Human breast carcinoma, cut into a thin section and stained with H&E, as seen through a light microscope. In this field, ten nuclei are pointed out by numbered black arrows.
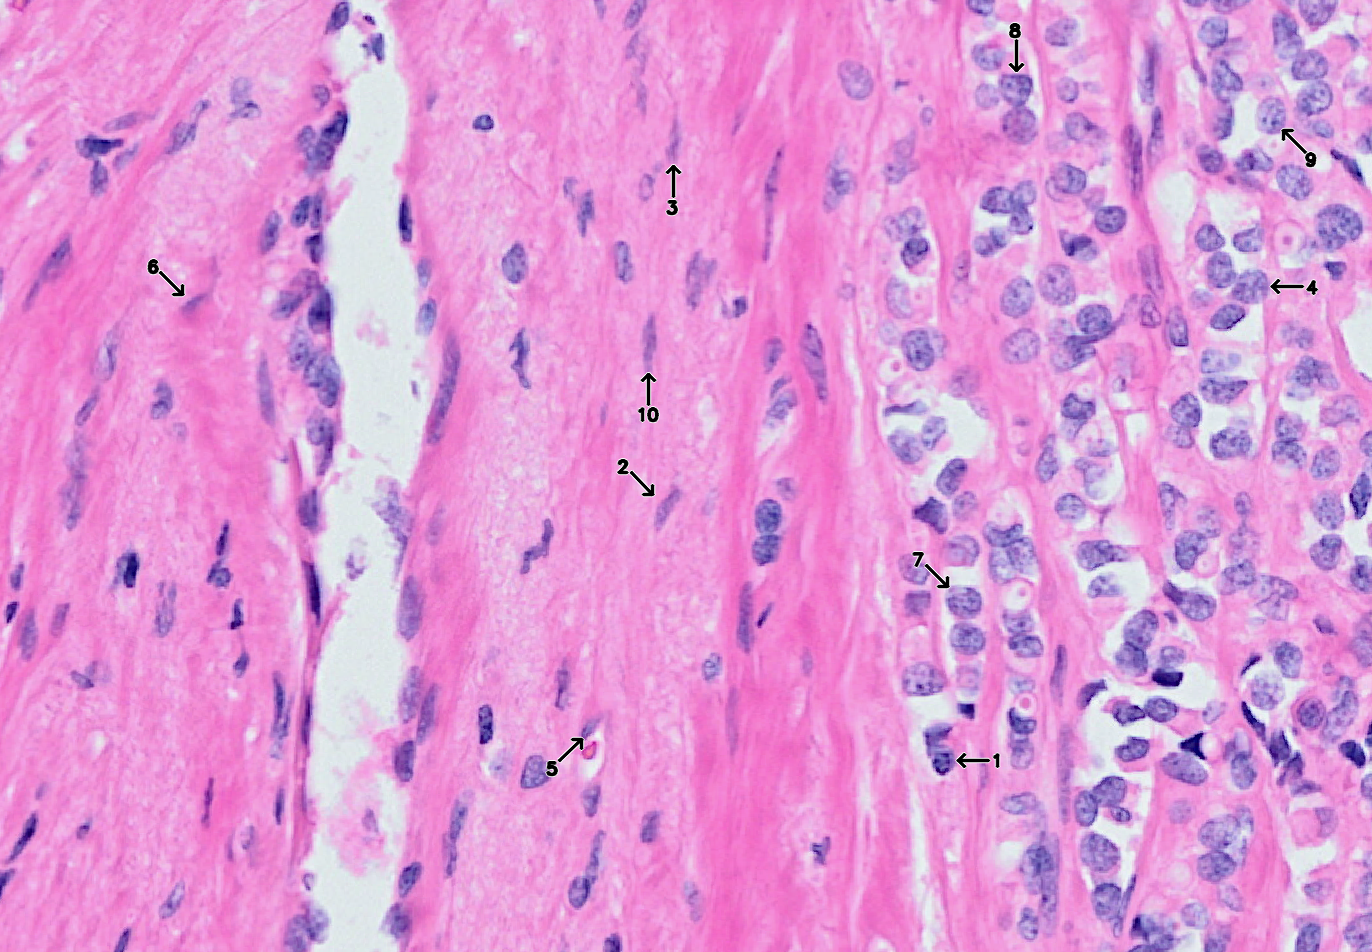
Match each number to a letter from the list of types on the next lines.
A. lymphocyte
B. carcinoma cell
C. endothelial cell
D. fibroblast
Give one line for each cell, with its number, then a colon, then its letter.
1: A
2: D
3: D
4: B
5: C
6: D
7: B
8: B
9: B
10: D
